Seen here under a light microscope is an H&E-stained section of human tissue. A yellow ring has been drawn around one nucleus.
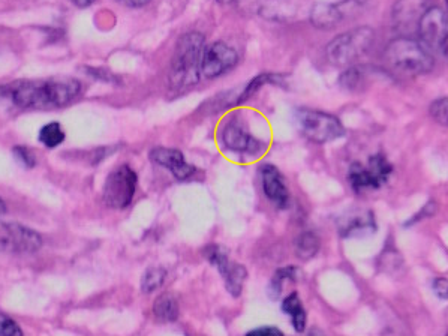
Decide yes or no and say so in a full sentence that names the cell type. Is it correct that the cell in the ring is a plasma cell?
No, the cell in the ring isn't a plasma cell; it is a melanoma cell.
